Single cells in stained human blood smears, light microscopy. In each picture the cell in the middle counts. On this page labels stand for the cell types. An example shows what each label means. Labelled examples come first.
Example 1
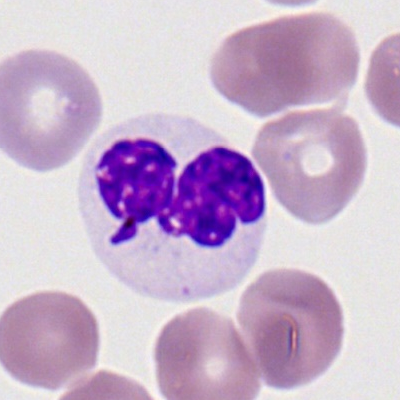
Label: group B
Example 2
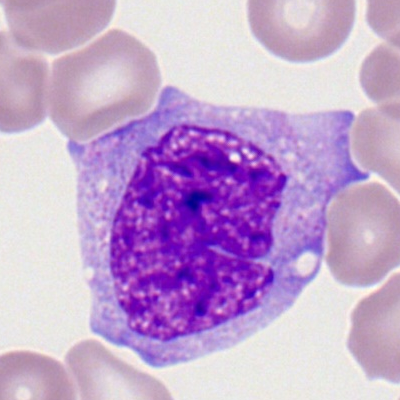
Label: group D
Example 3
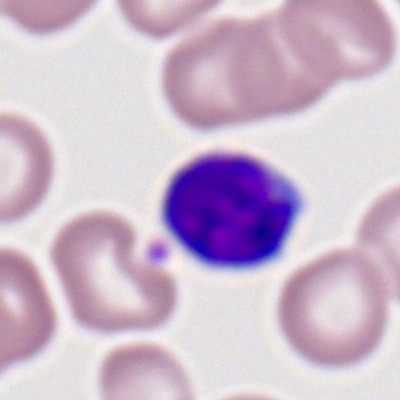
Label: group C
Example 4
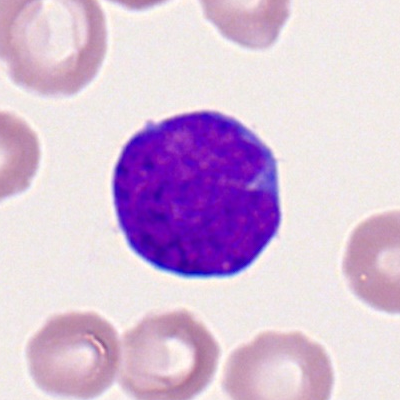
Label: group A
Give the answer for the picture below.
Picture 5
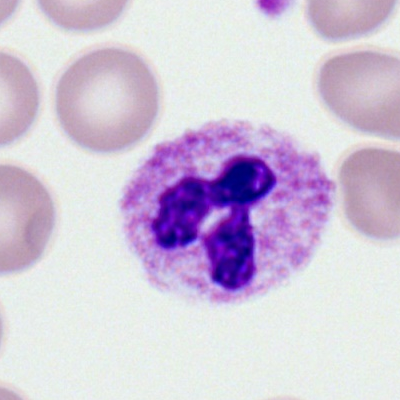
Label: group B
